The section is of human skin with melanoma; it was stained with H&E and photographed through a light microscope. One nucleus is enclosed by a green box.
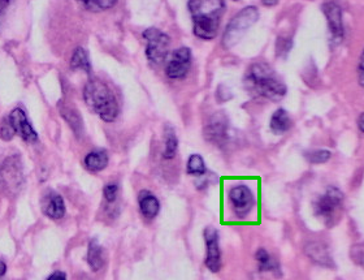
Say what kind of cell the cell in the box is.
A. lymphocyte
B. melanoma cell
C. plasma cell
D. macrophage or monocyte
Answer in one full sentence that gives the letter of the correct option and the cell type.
Option D describes the cell in the box accurately as a macrophage or monocyte.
